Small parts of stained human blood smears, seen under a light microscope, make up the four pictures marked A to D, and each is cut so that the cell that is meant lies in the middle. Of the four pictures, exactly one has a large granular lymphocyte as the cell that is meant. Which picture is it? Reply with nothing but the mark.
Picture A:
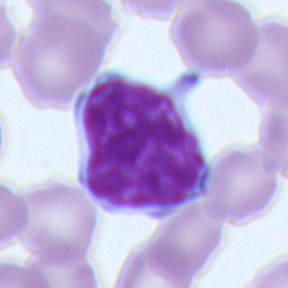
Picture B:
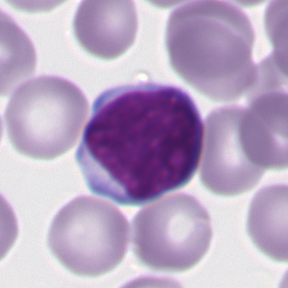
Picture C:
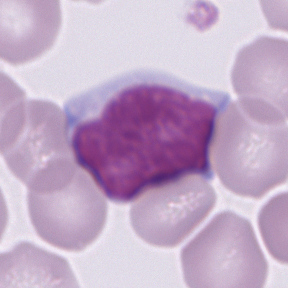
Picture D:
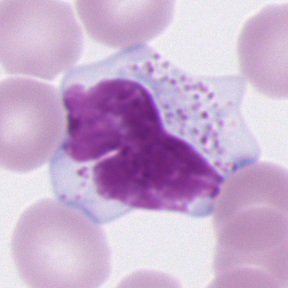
D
